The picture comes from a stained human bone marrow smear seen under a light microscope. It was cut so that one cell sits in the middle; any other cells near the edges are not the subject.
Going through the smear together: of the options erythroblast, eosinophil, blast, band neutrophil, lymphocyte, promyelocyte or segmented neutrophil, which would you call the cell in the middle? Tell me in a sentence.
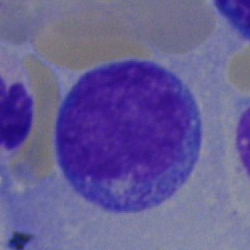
Classification of the middle cell gives a blast.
